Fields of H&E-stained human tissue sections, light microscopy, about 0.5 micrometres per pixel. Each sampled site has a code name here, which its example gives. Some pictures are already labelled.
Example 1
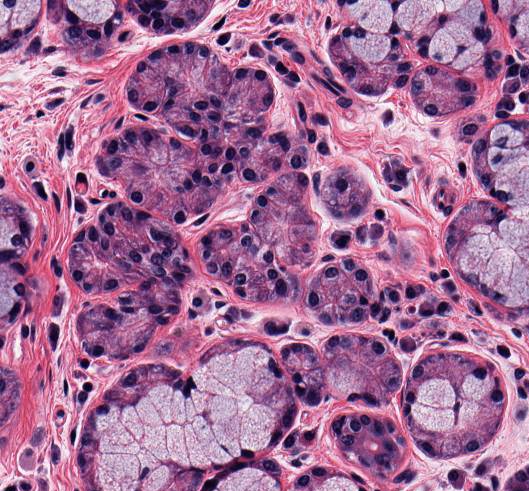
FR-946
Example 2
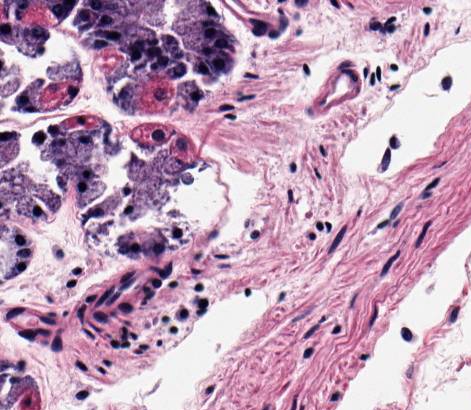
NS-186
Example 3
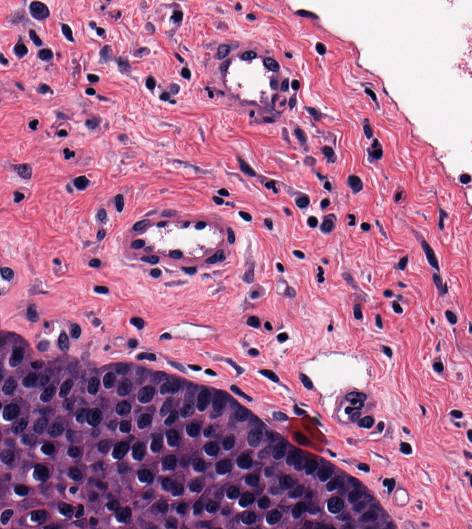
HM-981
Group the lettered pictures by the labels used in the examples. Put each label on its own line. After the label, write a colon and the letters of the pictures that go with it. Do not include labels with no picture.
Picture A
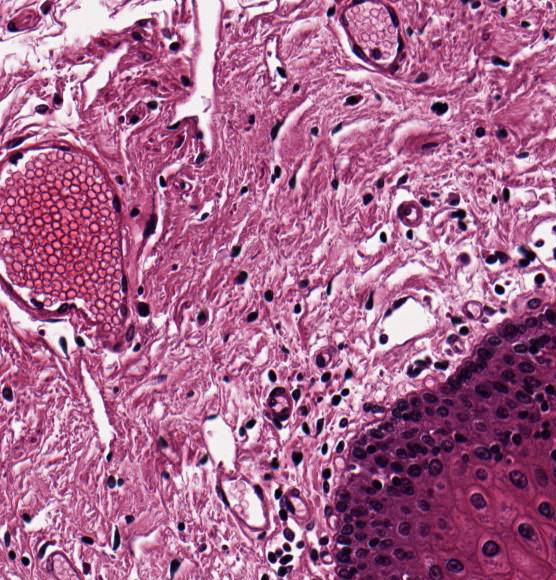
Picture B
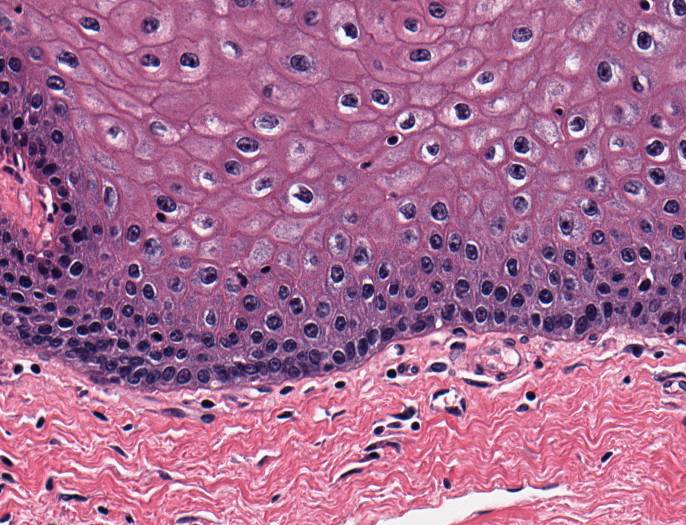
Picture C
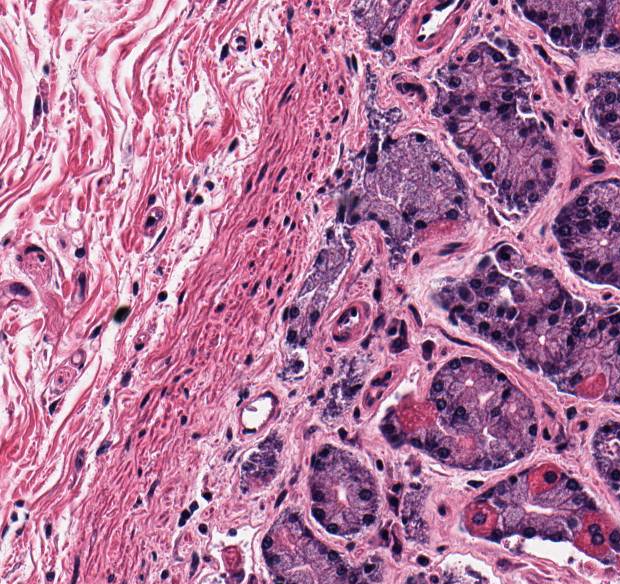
NS-186: C
HM-981: A, B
